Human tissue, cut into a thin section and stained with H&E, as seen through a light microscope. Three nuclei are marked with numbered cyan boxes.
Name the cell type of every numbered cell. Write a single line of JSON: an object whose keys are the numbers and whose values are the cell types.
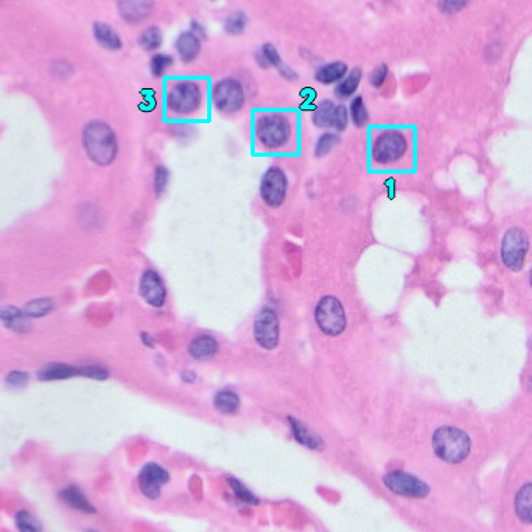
{"1": "proximal tubule cell", "2": "loop of Henle or distal tubule cell", "3": "loop of Henle or distal tubule cell"}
